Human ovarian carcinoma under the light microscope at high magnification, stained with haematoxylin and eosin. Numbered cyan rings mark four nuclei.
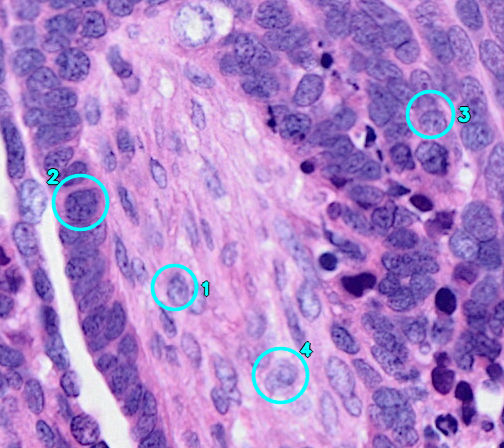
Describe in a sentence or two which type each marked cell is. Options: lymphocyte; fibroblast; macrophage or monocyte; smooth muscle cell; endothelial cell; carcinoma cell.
Cell 1 is a fibroblast, cell 2 is a carcinoma cell, cell 3 is a carcinoma cell and cell 4 is a fibroblast.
